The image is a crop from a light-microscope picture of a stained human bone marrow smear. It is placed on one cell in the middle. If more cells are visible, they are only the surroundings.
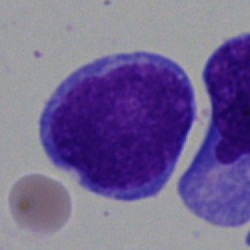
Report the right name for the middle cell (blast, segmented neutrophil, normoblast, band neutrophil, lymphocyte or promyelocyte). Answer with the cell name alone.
blast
